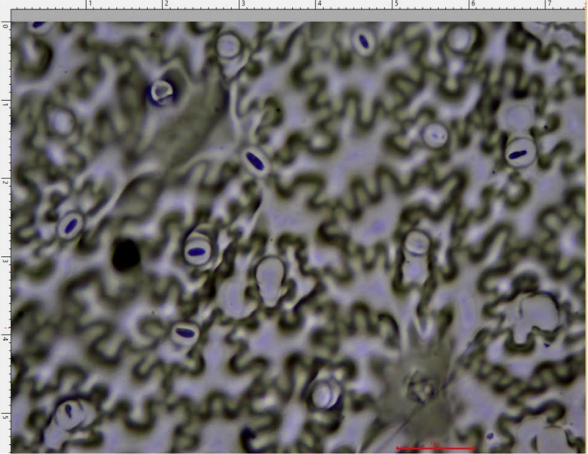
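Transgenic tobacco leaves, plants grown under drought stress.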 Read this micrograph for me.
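Leaf epidermis with jigsaw-shaped pavement cells bounded by wavy walls, with stomata scattered among them. Each stoma is a pair of kidney-shaped guard cells around a narrow pore, several of the pores appearing as a dark blue slit. The stomata lie well apart from one another.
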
